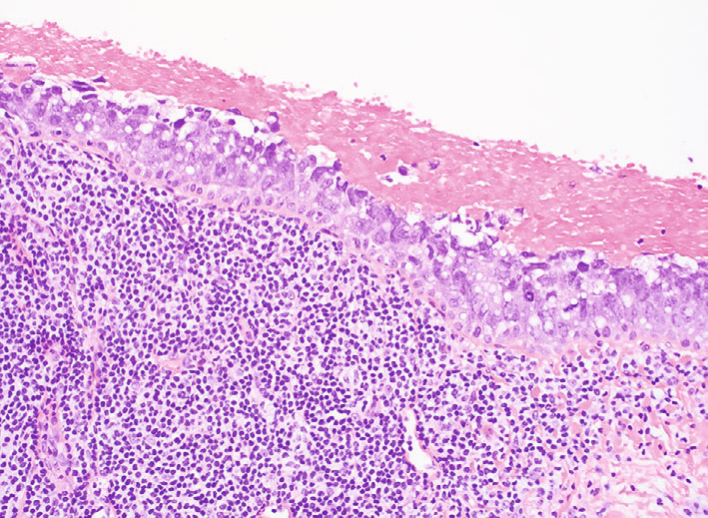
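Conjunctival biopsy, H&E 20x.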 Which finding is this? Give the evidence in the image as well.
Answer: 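The surface epithelial layer is made of large atypical cells with enlarged, dark, irregular nuclei. Many cells in the epithelium have pale, clear or bubbly vacuolated cytoplasm. The abnormal cells fill the epithelium above an intact lower border. The answer: intraepidermal sebaceous carcinoma.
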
